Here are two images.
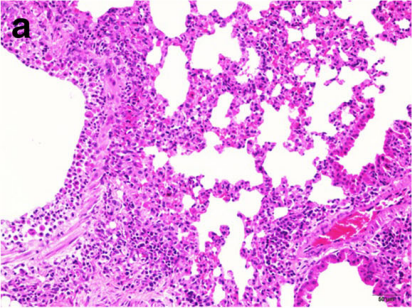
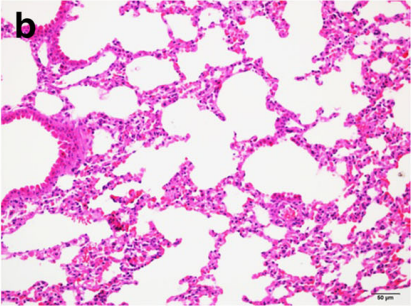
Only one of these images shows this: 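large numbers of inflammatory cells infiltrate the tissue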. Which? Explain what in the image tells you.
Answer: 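The first image. First image: dense sheets of small dark nuclei around the airway and in thickened walls.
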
